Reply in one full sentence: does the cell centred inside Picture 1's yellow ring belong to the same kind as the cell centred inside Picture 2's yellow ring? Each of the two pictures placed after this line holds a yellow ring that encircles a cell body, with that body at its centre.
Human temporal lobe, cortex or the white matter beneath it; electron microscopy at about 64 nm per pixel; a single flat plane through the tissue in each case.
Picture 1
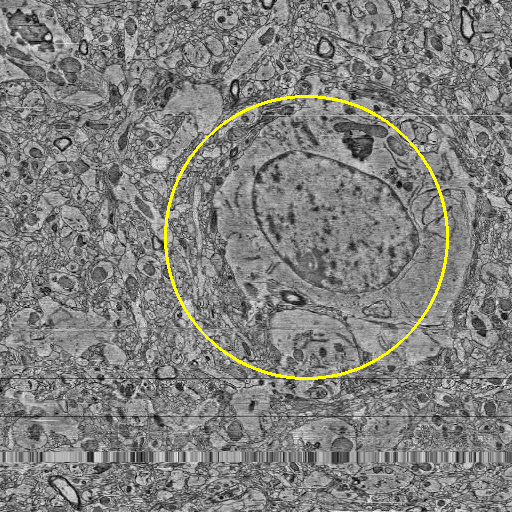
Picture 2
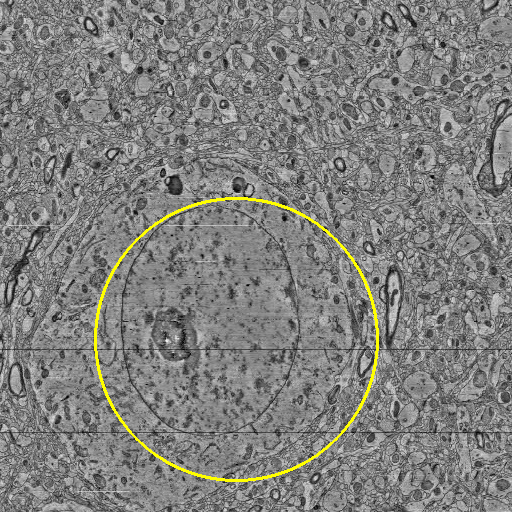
No, the ring-centred cells in Picture 1 and Picture 2 are of two separate kinds.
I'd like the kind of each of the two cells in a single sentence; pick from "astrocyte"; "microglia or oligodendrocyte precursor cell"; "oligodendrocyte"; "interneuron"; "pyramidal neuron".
The first ring marks an astrocyte, and the second ring marks a pyramidal neuron.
